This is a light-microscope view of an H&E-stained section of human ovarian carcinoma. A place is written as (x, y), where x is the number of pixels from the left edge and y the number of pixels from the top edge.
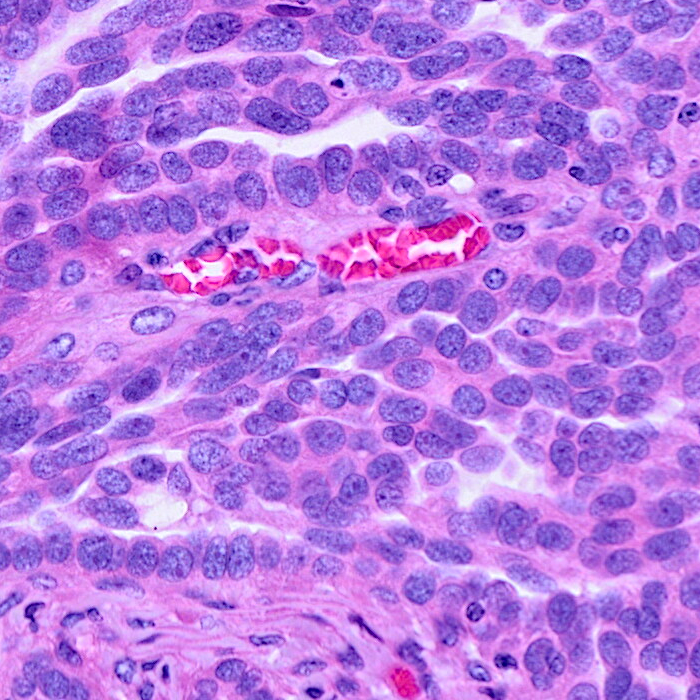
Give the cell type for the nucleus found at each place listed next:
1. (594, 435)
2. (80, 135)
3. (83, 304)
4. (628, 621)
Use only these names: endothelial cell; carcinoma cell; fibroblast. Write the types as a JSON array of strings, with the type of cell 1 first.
["carcinoma cell", "carcinoma cell", "fibroblast", "carcinoma cell"]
